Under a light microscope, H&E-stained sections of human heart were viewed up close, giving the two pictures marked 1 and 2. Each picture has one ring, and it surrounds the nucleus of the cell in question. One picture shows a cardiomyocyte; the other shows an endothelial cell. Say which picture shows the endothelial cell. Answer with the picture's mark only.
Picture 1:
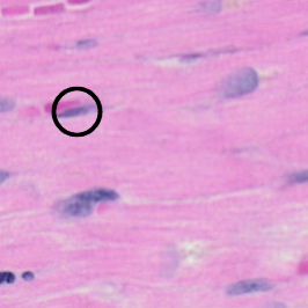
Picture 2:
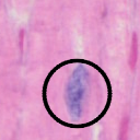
1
